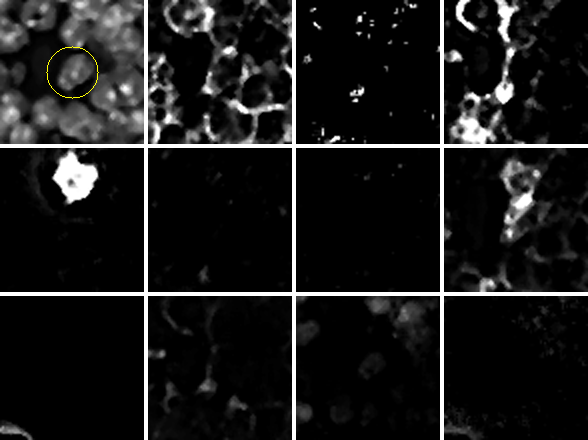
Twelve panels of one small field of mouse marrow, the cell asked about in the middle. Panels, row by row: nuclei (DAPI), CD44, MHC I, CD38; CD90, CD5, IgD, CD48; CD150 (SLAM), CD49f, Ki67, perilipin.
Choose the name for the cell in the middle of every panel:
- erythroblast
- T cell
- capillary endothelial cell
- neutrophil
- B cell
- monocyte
capillary endothelial cell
